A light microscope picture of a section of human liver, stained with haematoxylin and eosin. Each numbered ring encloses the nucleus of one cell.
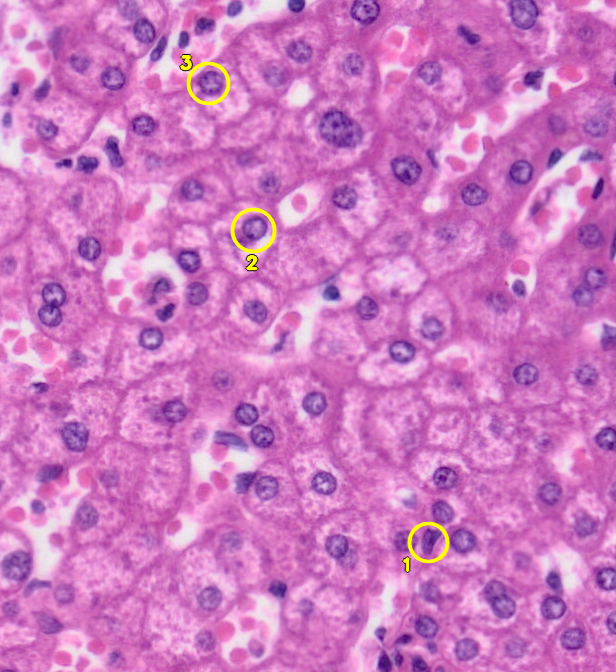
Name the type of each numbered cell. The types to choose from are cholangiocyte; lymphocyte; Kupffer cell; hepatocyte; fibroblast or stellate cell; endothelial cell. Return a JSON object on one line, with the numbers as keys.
{"1": "fibroblast or stellate cell", "2": "hepatocyte", "3": "hepatocyte"}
